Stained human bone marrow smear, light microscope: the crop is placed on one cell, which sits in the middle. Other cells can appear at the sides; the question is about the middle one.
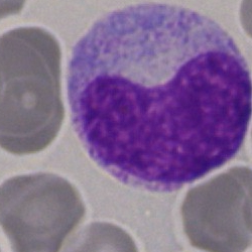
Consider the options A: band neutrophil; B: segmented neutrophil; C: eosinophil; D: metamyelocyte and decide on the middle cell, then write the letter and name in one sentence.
The cell in the middle is a metamyelocyte, so option D is correct.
